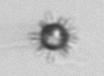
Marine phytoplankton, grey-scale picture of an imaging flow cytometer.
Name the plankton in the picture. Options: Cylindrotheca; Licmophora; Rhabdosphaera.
Rhabdosphaera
